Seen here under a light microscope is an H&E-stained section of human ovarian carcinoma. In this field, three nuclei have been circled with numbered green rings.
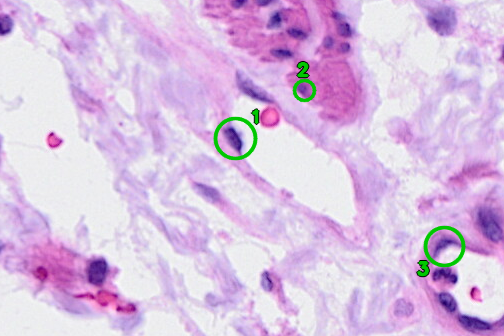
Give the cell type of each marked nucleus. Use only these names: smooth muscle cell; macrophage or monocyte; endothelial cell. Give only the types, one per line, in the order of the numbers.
endothelial cell
smooth muscle cell
endothelial cell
